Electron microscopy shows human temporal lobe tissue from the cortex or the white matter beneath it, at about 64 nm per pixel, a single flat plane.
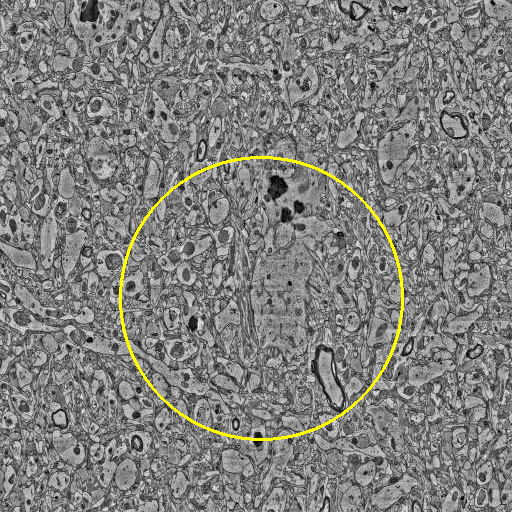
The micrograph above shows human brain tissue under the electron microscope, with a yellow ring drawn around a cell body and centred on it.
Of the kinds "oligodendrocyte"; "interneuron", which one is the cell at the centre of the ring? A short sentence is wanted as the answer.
The one at the centre of the ring is an interneuron.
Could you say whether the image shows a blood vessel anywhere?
No, no vessel appears in the picture.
